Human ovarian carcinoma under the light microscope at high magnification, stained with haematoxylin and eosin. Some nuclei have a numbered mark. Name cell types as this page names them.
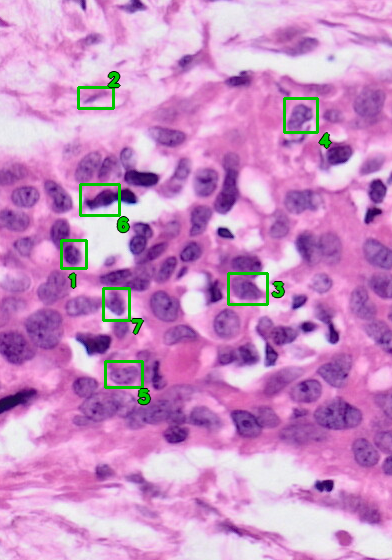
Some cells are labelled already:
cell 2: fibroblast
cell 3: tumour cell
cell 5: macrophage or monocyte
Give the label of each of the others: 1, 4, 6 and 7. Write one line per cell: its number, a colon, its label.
1: tumour cell
4: macrophage or monocyte
6: tumour cell
7: tumour cell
